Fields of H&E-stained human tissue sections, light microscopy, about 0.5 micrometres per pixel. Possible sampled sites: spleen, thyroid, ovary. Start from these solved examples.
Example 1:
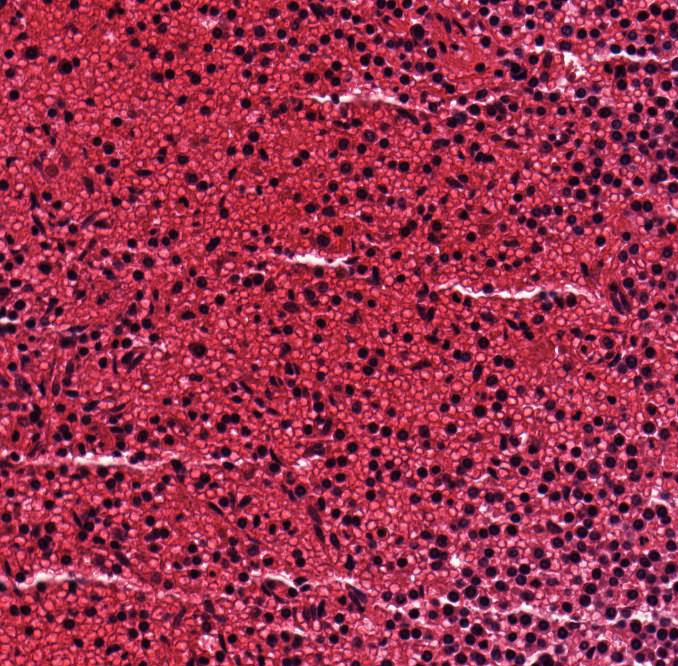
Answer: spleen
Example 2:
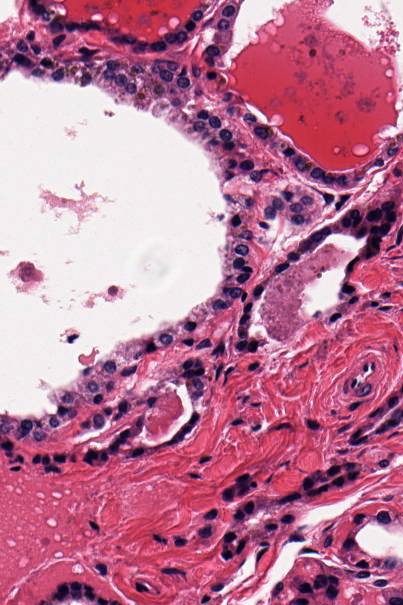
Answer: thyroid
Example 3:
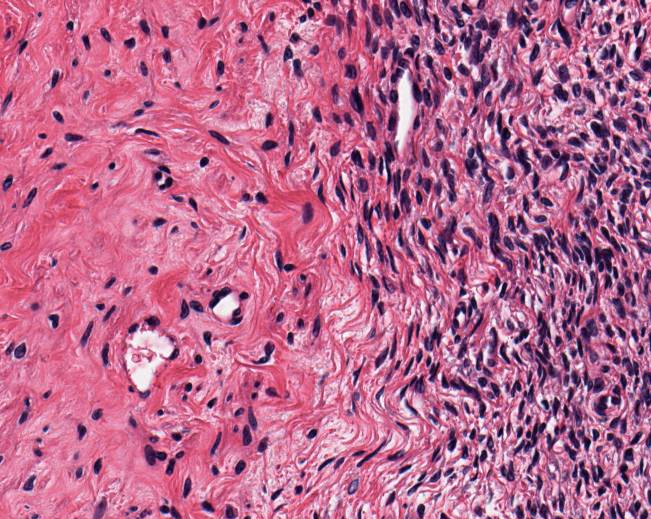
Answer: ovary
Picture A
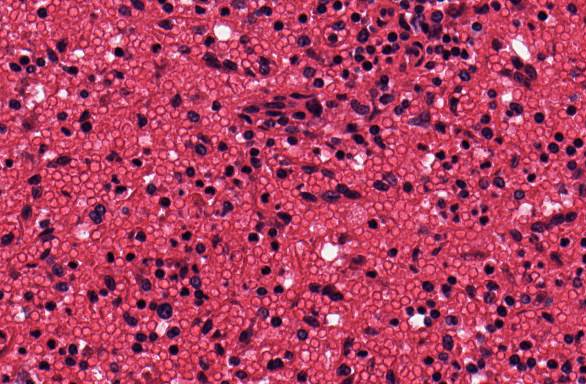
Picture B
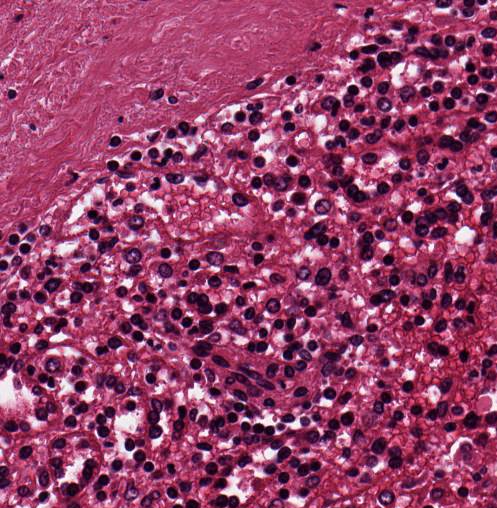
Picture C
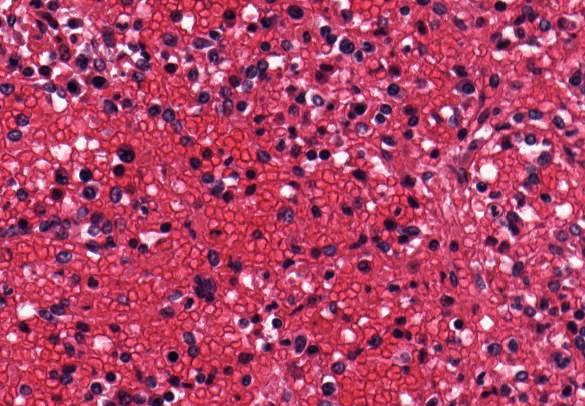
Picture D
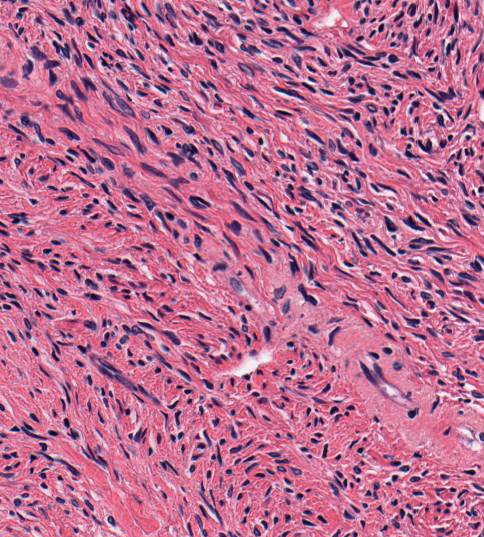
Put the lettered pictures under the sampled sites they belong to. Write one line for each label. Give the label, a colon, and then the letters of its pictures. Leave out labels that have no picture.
spleen: A, B, C
ovary: D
